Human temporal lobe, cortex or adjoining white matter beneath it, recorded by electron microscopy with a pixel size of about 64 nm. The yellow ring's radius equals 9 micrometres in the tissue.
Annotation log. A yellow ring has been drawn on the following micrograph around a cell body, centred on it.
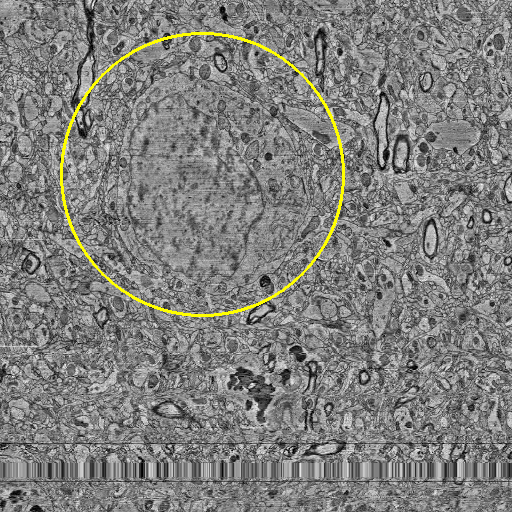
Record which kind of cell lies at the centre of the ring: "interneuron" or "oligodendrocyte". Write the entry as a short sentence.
The cell the ring is centred on is an interneuron.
